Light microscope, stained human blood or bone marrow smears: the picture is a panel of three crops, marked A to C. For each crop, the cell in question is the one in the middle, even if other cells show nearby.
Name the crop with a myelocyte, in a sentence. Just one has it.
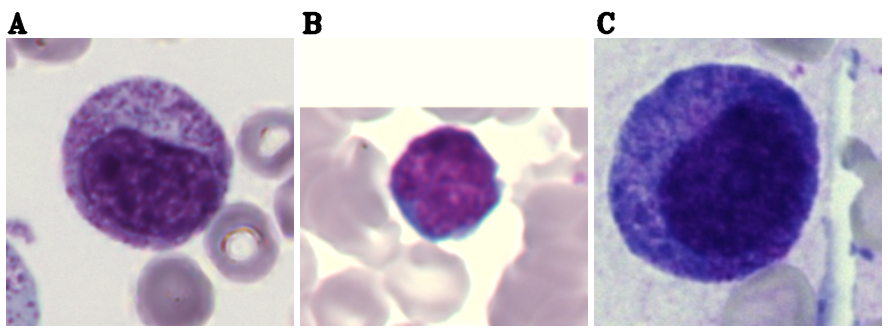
The one crop that shows a myelocyte is crop A.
